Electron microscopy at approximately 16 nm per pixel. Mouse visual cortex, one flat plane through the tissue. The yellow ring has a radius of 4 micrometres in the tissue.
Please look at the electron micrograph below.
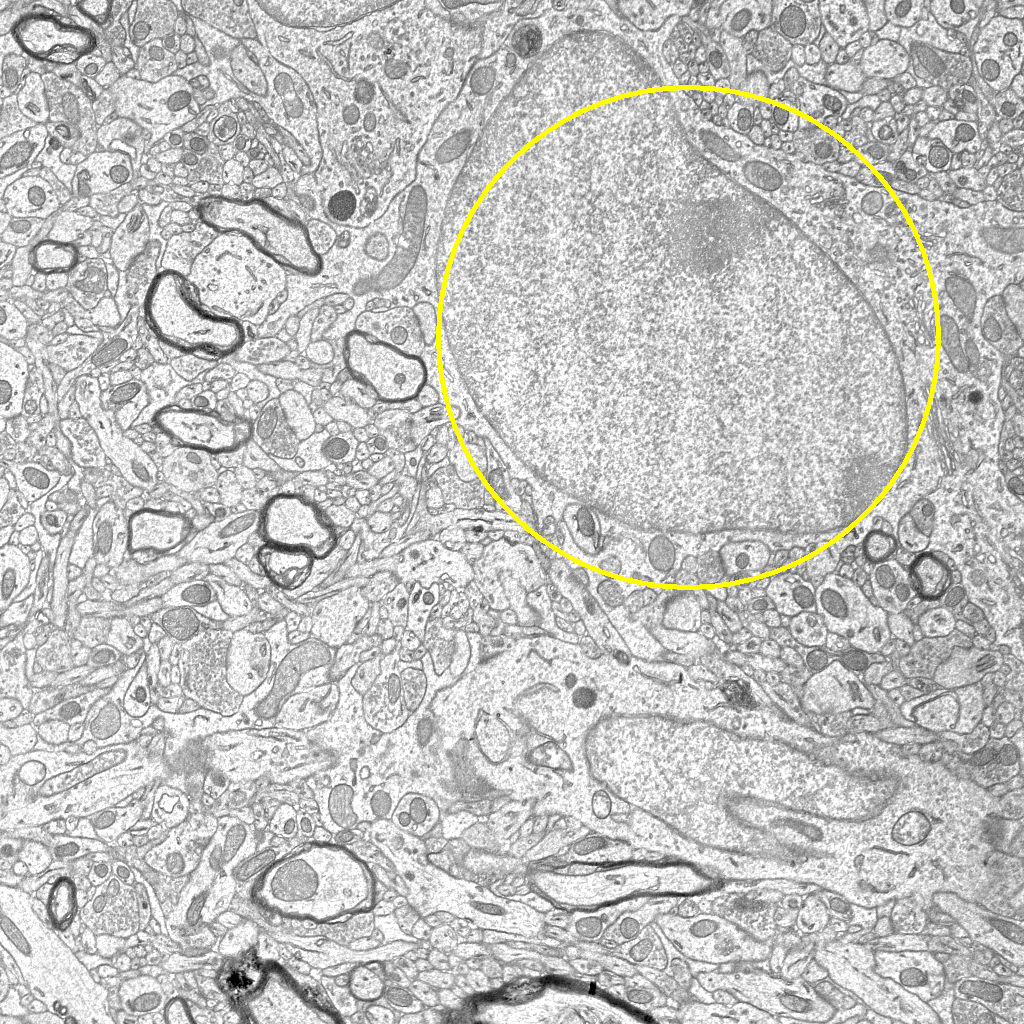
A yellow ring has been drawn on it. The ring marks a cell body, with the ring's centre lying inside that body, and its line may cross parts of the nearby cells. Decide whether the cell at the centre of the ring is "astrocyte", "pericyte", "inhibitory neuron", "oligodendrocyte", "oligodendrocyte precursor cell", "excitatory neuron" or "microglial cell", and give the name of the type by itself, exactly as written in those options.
astrocyte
